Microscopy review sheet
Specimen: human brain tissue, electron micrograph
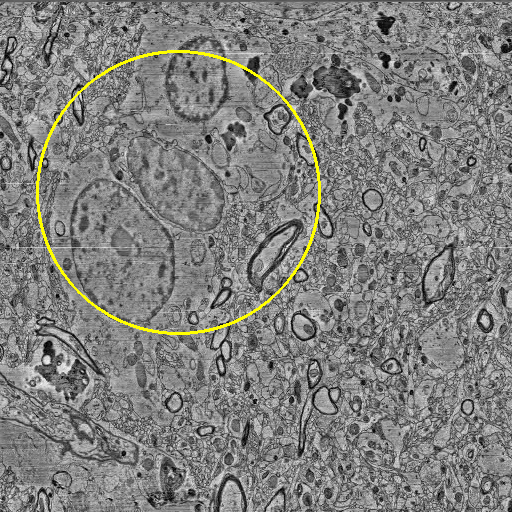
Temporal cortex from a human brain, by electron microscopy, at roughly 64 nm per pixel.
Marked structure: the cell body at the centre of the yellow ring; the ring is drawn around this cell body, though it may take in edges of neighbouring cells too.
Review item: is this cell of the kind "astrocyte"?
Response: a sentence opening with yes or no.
No, this cell is of another kind.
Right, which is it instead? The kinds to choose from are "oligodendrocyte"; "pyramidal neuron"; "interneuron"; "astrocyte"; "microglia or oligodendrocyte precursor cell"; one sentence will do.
The correct answer is that the cell is an oligodendrocyte.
